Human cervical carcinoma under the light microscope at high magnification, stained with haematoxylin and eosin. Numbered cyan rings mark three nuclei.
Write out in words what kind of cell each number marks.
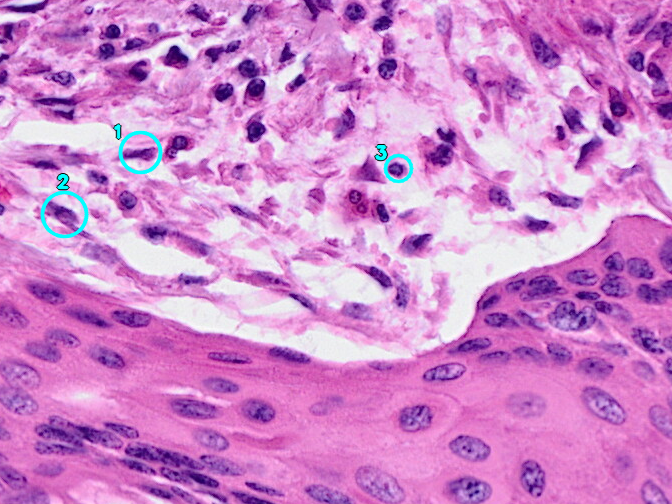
Cell 1 is a fibroblast, cell 2 is a fibroblast and cell 3 is a lymphocyte.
